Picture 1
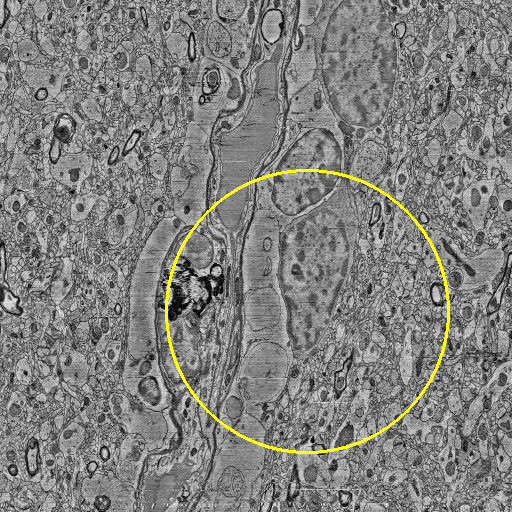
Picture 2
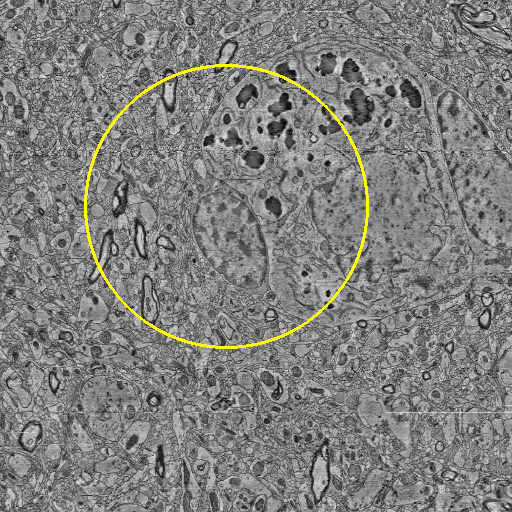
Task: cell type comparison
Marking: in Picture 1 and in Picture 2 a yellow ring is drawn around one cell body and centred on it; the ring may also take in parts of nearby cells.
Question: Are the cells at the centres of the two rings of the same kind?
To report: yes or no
yes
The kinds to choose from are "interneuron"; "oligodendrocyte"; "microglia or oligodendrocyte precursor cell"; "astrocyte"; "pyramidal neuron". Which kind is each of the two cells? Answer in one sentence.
Each of the ringed cells, first and second, is an oligodendrocyte.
